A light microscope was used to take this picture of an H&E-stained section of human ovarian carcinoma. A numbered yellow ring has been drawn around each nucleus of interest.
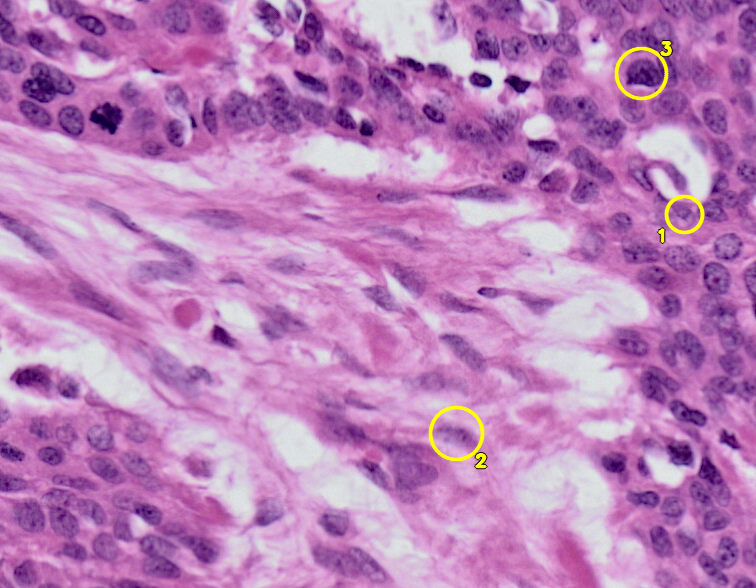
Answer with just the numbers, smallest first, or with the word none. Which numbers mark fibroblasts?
2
